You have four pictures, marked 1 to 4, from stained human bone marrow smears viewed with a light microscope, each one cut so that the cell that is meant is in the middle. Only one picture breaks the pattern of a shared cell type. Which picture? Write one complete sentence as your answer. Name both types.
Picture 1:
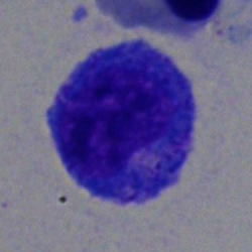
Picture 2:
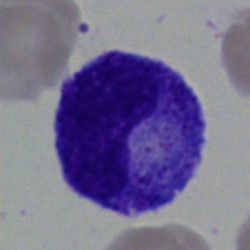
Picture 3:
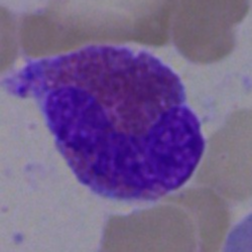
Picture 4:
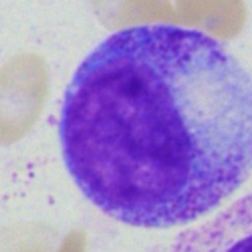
The others show promyelocytes, but picture 3 shows an eosinophil.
